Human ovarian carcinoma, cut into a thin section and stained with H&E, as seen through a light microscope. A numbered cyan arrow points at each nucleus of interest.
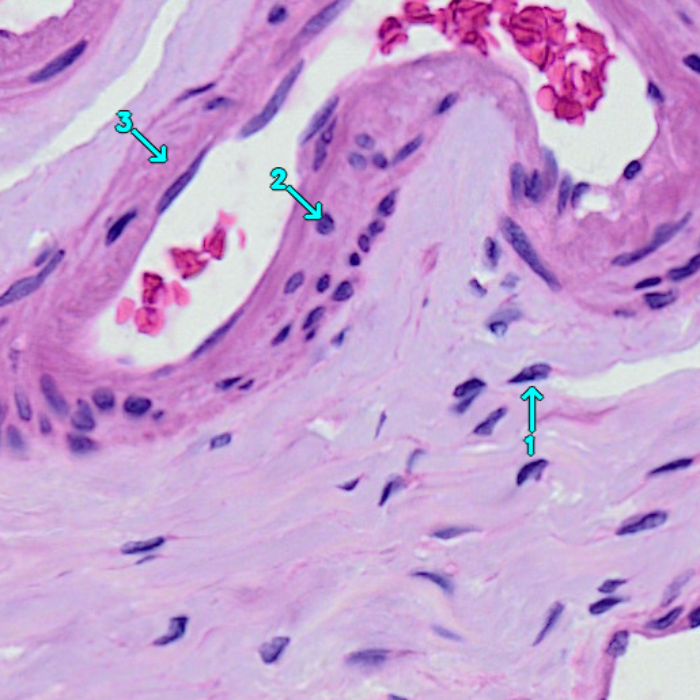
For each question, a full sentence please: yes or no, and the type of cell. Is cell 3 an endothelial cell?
Yes, in this tissue section, number 3 is an endothelial cell.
